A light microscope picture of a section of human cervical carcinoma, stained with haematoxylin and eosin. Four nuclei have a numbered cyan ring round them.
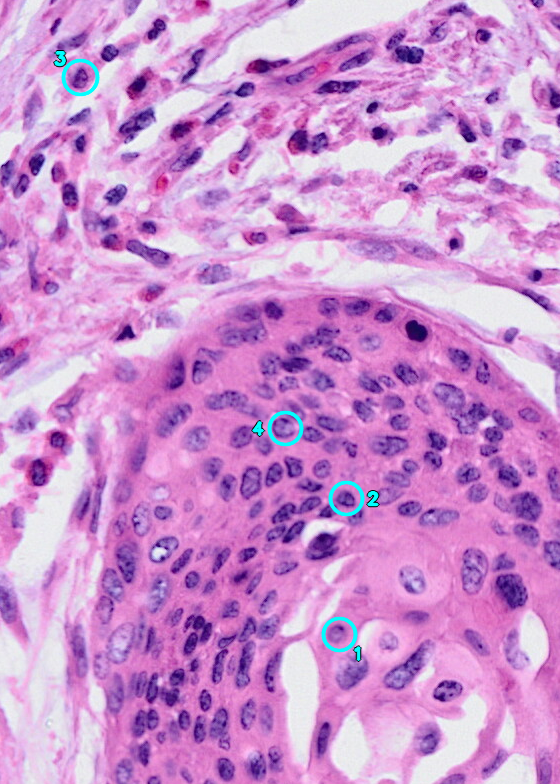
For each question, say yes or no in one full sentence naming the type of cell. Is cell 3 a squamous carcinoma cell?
No, cell 3 counts as a macrophage or monocyte rather than as a squamous carcinoma cell.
